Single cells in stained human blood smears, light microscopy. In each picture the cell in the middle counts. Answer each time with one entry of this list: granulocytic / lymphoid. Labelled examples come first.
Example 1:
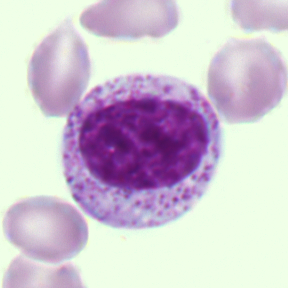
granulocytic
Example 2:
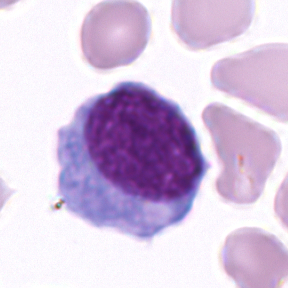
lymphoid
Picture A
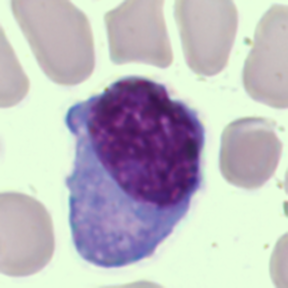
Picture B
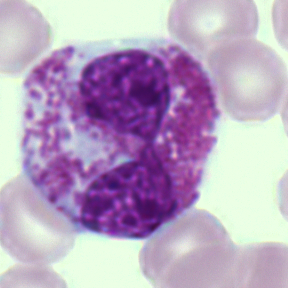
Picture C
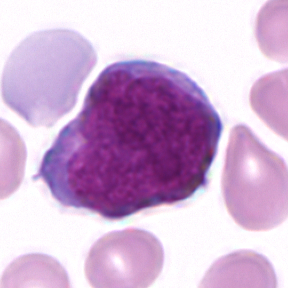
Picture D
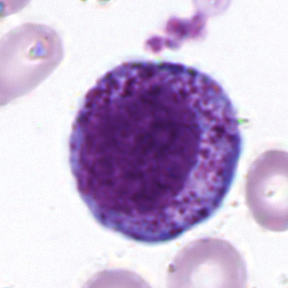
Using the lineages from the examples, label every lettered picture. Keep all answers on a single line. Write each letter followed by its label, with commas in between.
A lymphoid, B granulocytic, C granulocytic, D granulocytic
